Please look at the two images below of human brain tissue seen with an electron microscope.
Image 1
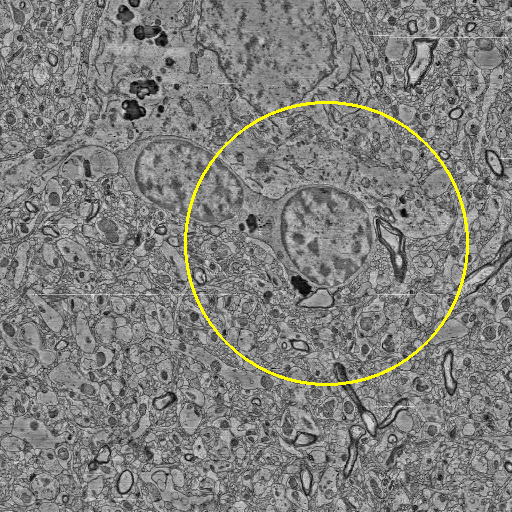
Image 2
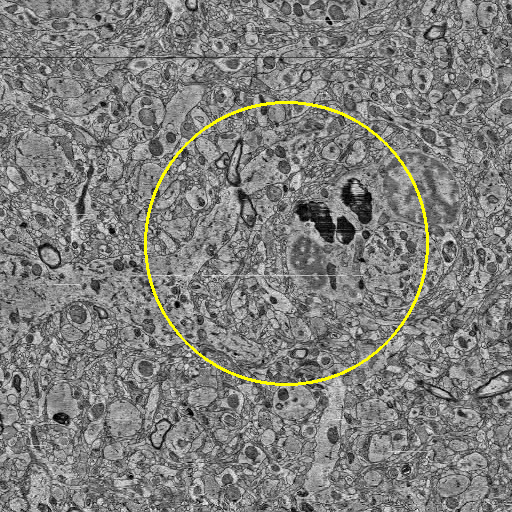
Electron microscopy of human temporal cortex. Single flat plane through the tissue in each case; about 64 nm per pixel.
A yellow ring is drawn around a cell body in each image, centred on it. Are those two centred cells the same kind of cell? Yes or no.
yes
